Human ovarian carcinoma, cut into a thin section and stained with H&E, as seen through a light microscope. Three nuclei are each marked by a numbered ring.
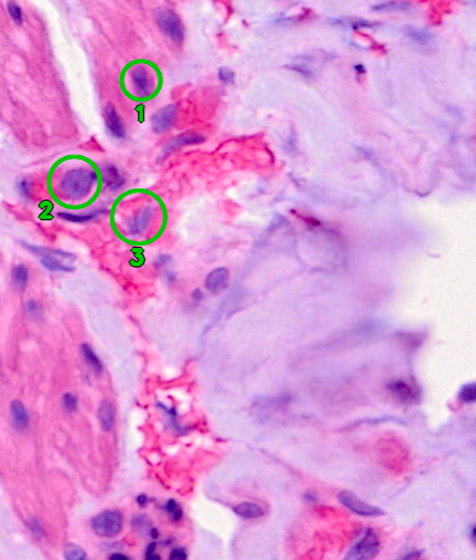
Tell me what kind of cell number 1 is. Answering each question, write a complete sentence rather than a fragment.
The cell indicated with the number 1 is classed as a smooth muscle cell.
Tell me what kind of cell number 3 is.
The cell referenced by the number 3 is an endothelial cell in this field.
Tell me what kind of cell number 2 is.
As for number 2, that cell is an endothelial cell.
